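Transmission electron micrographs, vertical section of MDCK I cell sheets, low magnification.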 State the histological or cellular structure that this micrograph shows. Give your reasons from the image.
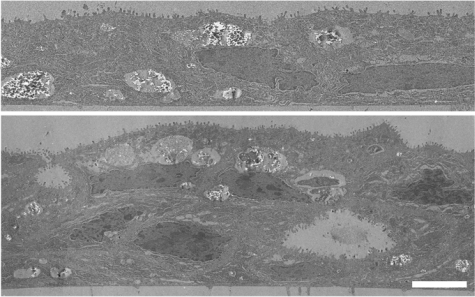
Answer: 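Cavities. The lower strip is a thicker sheet with several layers of cells. Pale, rounded spaces lie enclosed within the lower cell sheet.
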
